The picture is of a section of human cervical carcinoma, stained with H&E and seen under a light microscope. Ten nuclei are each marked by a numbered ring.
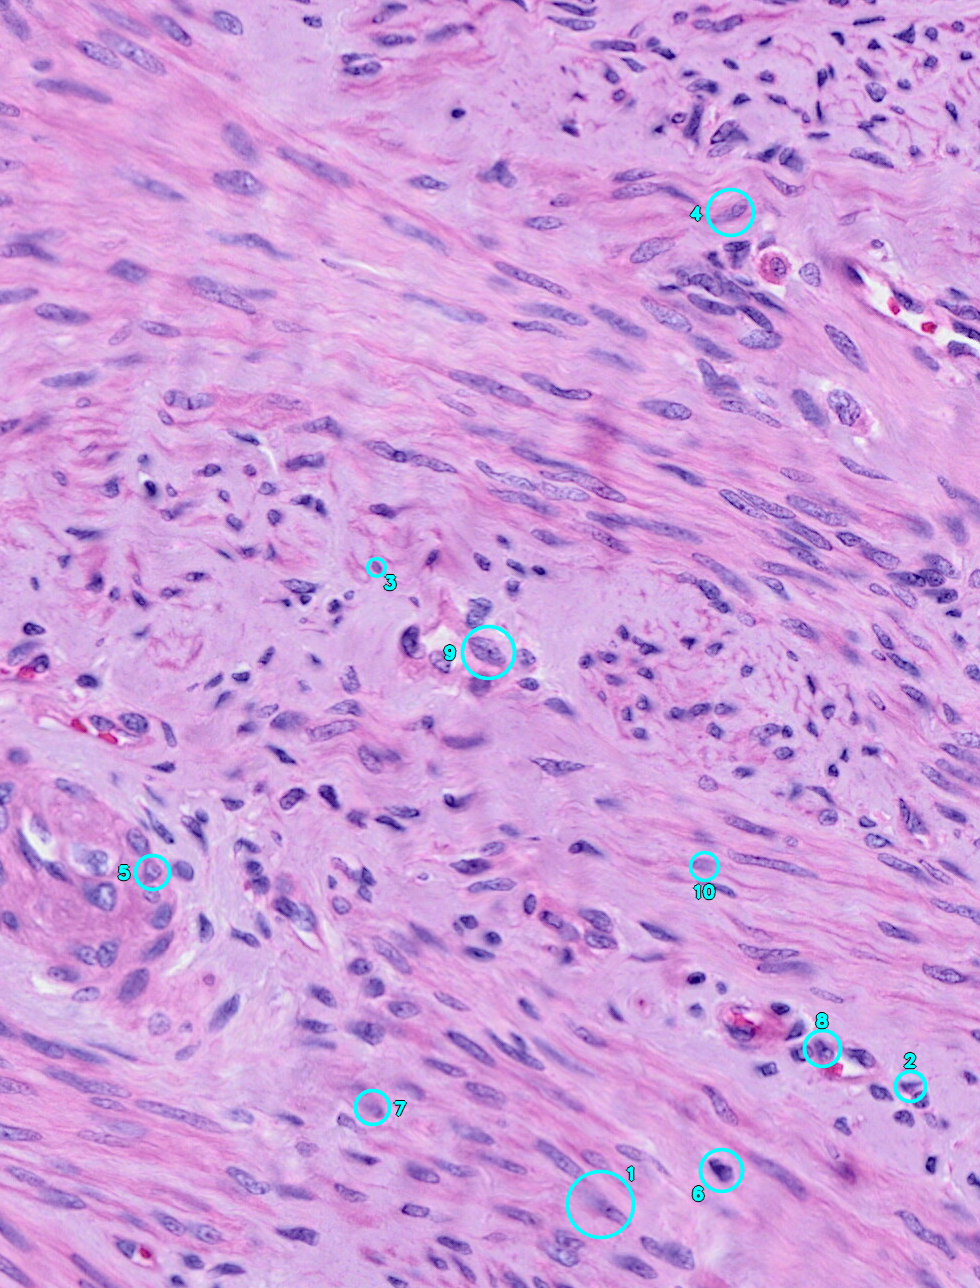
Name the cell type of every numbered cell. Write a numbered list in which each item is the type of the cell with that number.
1. smooth muscle cell
2. fibroblast
3. smooth muscle cell
4. smooth muscle cell
5. smooth muscle cell
6. lymphocyte
7. smooth muscle cell
8. endothelial cell
9. endothelial cell
10. smooth muscle cell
